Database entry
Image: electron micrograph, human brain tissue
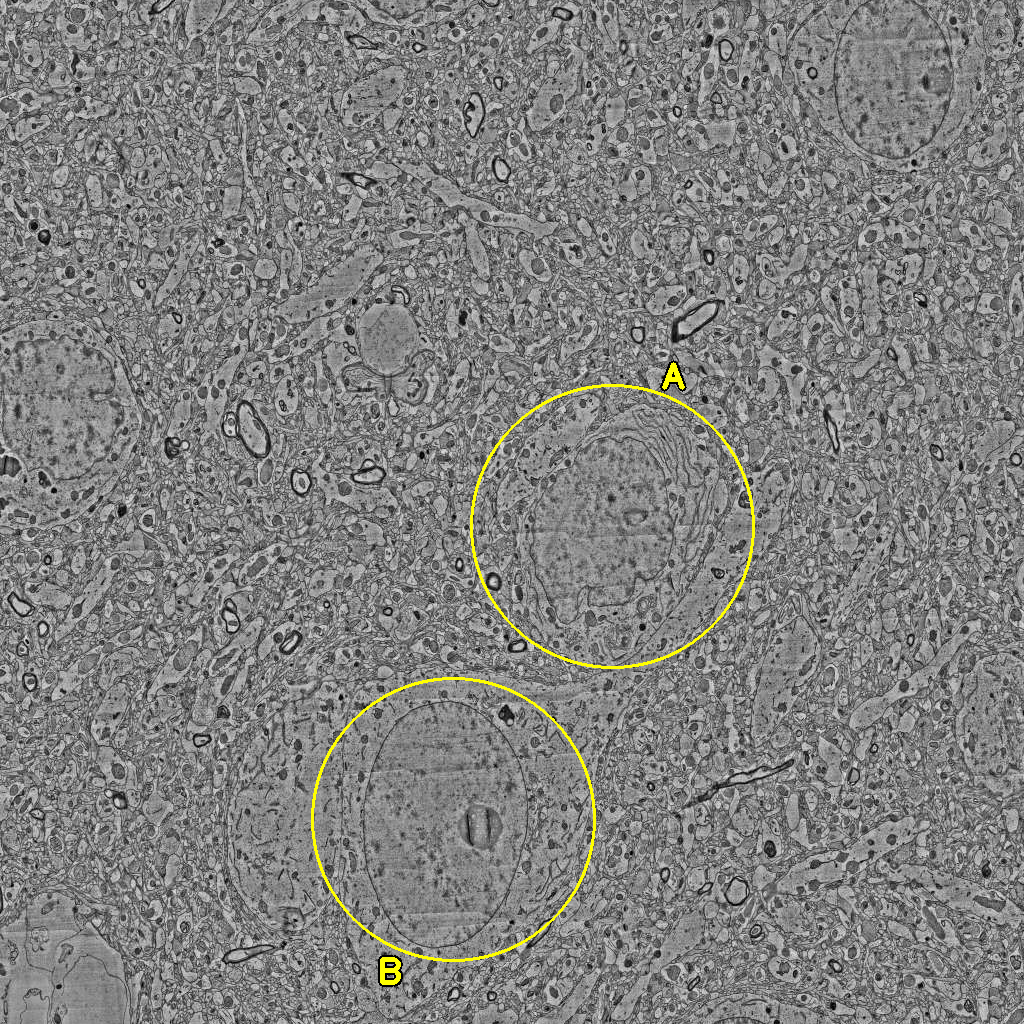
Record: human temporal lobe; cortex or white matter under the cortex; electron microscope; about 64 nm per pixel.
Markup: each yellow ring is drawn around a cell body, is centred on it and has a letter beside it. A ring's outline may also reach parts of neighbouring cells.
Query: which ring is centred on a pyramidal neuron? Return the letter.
B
